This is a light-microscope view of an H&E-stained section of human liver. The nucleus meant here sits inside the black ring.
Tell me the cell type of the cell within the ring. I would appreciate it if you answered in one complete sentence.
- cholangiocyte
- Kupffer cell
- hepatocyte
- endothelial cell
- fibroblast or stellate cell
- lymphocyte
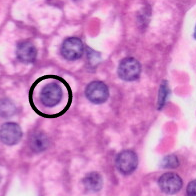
The cell type of the cell within the ring is that of a hepatocyte.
